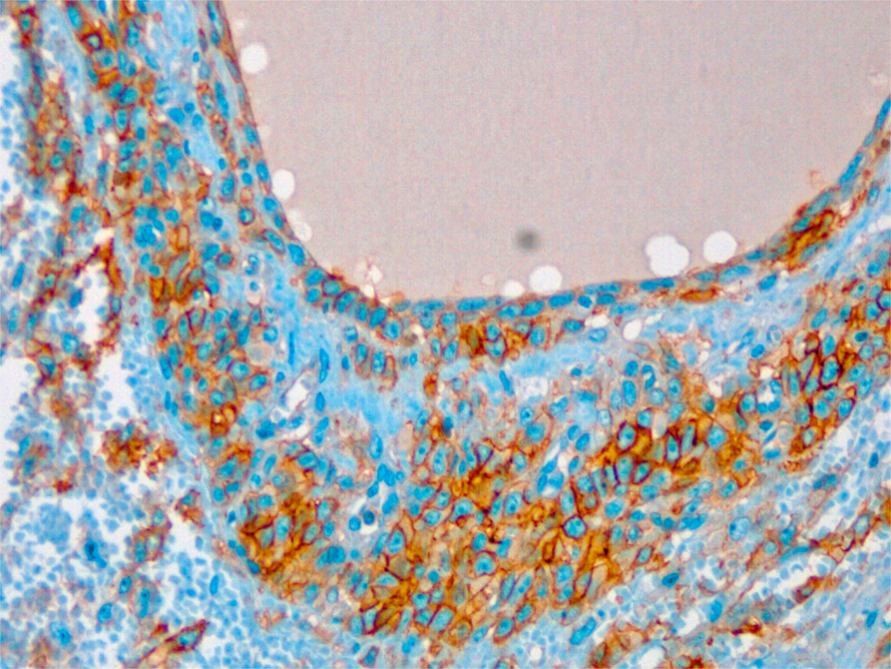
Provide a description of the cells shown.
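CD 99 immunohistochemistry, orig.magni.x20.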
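This section shows a follicular structure whose cavity, filled with pale pink homogeneous fluid, occupies the upper part of the field and is lined by granulosa cells. The granulosa cells form a thin lining layer along the cavity and broader sheets and nests in the wall beneath it. They are polygonal to oval, with oval blue nuclei and moderate cytoplasm. Their cell membranes are outlined by a strong brown stain, which gives the sheets a net-like pattern.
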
